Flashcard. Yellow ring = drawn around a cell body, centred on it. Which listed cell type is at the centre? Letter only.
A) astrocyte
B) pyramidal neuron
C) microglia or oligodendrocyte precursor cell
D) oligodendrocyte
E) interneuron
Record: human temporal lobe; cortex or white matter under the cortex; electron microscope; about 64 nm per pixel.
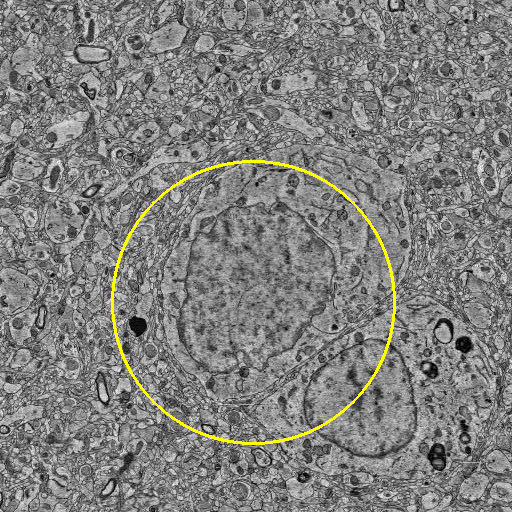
E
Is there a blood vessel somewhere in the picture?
No, none appears.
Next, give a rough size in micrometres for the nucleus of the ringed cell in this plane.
In this plane, approximately 12 by 9 micrometers.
